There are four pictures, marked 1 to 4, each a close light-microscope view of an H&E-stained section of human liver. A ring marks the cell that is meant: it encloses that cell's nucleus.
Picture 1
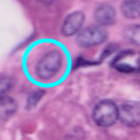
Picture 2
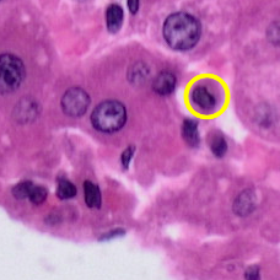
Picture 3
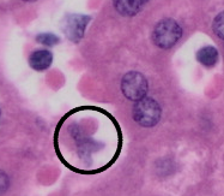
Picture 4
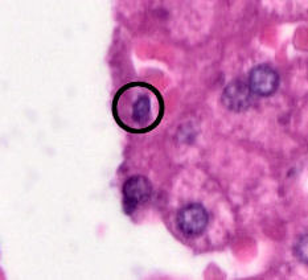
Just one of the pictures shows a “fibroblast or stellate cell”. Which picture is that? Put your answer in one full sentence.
Picture 4 shows the “fibroblast or stellate cell”.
